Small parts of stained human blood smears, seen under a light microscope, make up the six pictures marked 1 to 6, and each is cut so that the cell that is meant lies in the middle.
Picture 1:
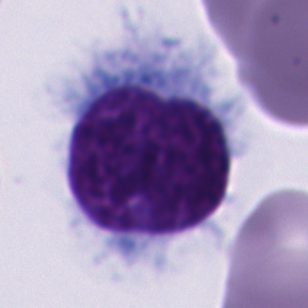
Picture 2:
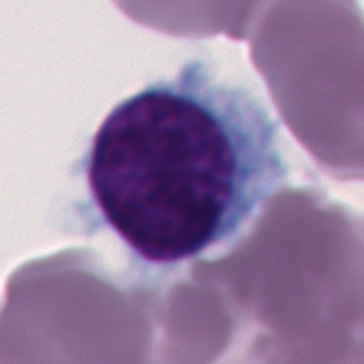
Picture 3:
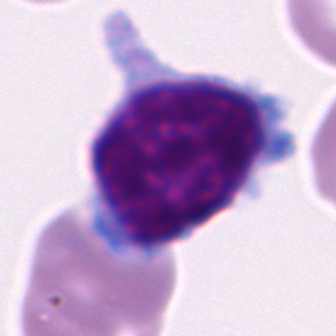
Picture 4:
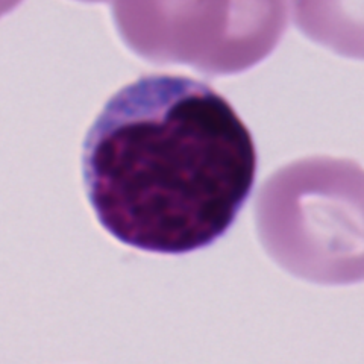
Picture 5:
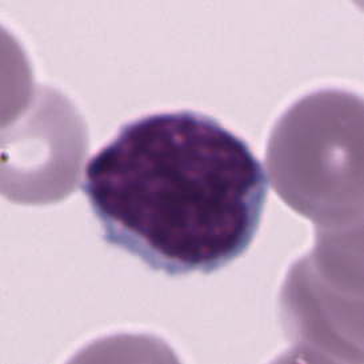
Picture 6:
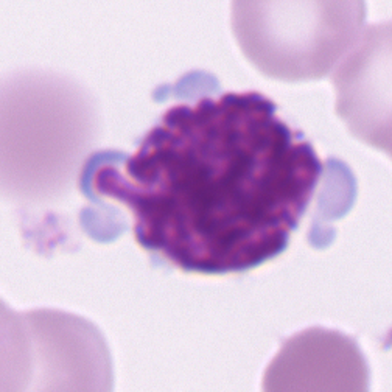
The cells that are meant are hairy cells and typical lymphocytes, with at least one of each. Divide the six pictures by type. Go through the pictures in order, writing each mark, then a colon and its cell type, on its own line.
1: hairy cell
2: hairy cell
3: typical lymphocyte
4: typical lymphocyte
5: typical lymphocyte
6: typical lymphocyte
